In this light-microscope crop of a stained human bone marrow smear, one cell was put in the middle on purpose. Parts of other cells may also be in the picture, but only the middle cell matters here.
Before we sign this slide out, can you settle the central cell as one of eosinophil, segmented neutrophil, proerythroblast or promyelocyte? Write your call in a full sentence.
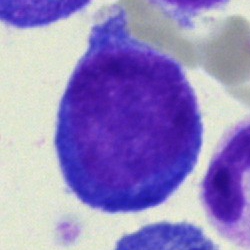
The cell in the middle of this crop is a proerythroblast.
